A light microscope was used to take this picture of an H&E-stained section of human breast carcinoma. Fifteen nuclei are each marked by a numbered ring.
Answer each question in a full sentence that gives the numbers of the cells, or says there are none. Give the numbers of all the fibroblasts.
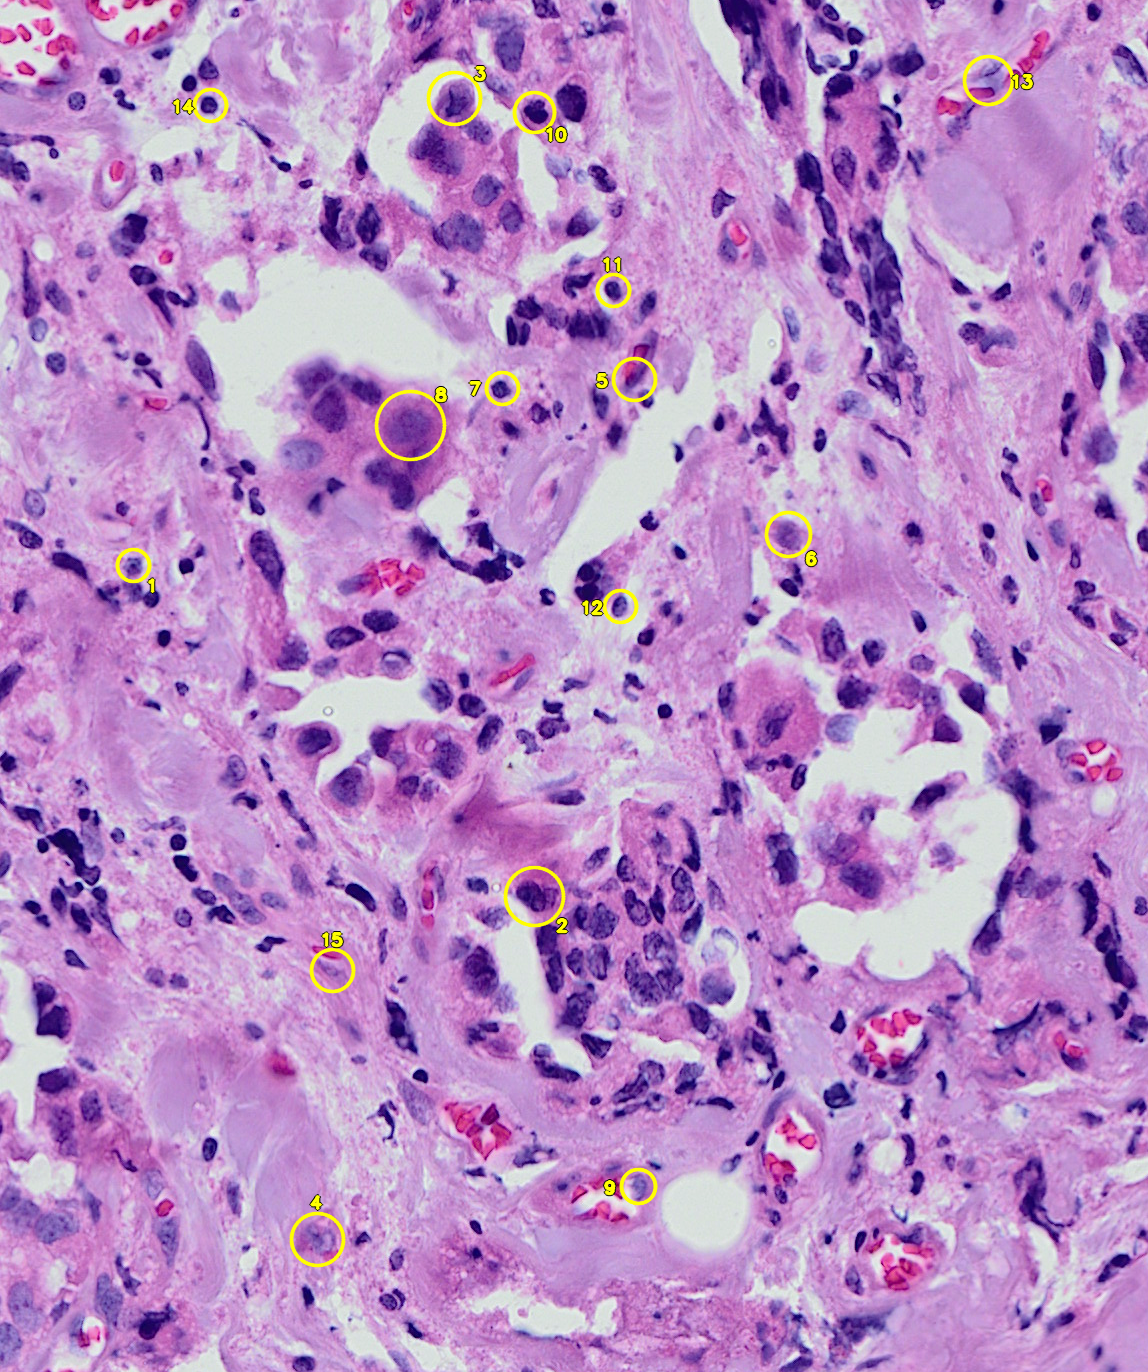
Among the labelled cells, only the cell labelled 6 is a fibroblast.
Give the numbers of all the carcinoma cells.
When it comes to cells 2, 3, 8 and 10, they are carcinoma cells.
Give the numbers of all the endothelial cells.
Cells that were given the numbers 4, 5, 9, 13 and 15 are endothelial cells.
